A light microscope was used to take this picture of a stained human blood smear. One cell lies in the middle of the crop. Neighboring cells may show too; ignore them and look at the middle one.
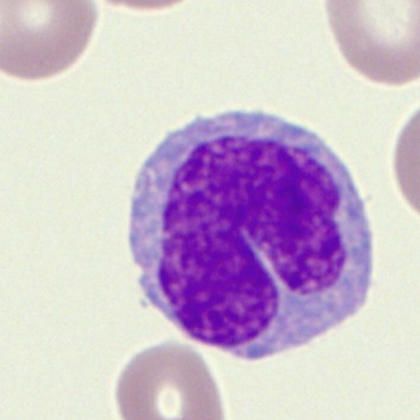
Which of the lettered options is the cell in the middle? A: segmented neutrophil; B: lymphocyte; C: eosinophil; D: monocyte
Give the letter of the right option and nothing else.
D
